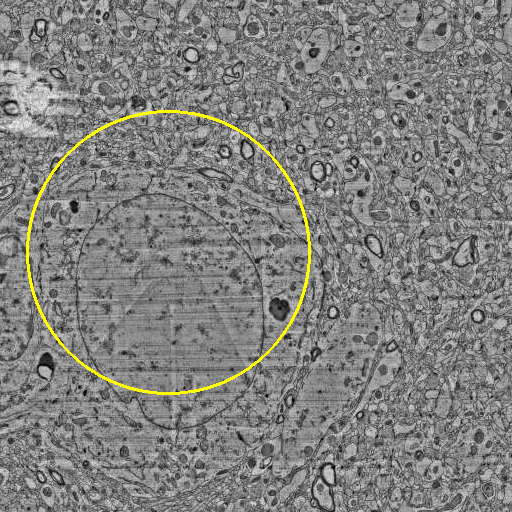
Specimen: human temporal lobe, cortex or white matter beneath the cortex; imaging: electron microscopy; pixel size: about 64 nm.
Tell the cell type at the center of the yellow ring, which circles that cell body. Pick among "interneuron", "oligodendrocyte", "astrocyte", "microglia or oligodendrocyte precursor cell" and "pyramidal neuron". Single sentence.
The ring is centered on the body of a pyramidal neuron.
